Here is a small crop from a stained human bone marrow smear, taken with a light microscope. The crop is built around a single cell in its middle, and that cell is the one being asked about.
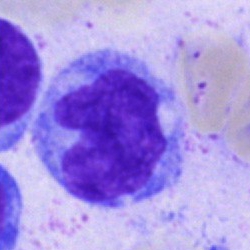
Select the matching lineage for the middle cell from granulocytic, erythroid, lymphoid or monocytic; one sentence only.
Lineage classification of the central cell is monocytic.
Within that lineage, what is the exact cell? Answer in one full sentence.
At the crop's centre, the cell is a monocyte.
